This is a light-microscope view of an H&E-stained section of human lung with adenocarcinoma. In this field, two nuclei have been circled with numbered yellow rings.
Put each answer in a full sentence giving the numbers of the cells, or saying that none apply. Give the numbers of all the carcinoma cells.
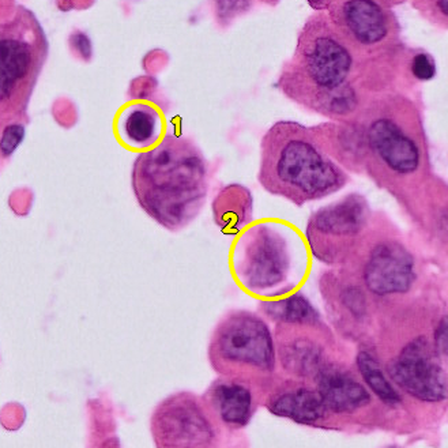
None but cell 2 among the numbered cells is a carcinoma cell.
